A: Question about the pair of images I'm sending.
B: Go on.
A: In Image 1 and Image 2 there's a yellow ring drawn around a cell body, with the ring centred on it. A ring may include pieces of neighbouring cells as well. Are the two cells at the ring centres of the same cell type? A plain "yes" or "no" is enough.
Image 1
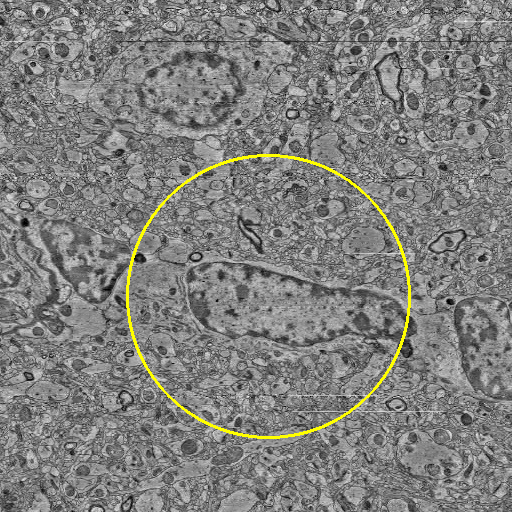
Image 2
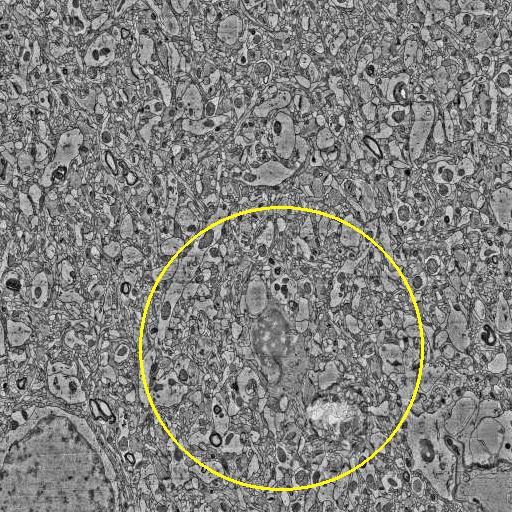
no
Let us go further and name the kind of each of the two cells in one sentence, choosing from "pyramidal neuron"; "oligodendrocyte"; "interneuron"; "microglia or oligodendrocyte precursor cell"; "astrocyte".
The ring of the first picture is on a microglial cell or oligodendrocyte precursor cell, the ring of the second on an oligodendrocyte.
